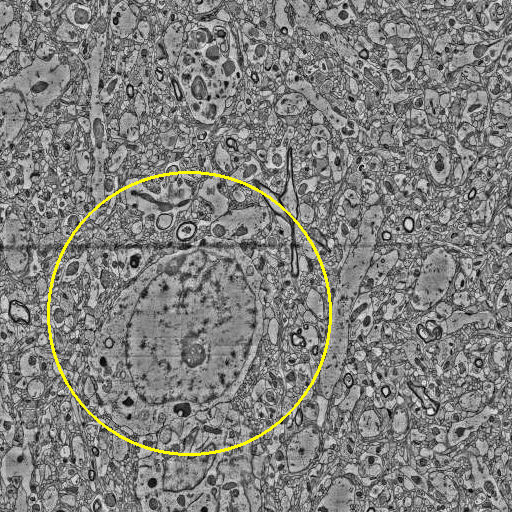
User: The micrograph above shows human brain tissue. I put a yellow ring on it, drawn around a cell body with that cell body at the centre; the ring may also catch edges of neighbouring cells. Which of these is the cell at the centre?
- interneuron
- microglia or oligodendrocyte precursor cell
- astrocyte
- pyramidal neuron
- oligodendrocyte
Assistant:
interneuron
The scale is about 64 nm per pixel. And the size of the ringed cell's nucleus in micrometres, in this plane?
About 10 by 8 micrometers, in this plane.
